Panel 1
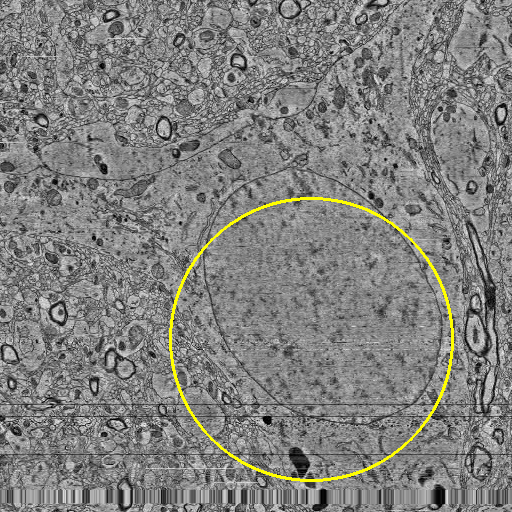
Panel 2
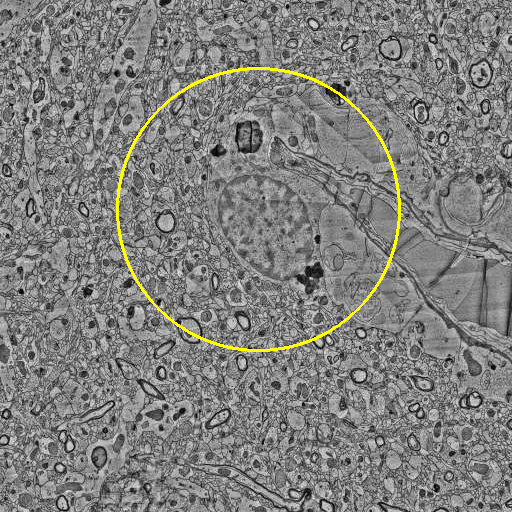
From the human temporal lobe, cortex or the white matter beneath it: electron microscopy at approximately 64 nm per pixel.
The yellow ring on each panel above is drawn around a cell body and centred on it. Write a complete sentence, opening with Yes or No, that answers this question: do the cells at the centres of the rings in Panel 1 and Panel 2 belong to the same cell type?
No, the two cells belong to two cell types.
